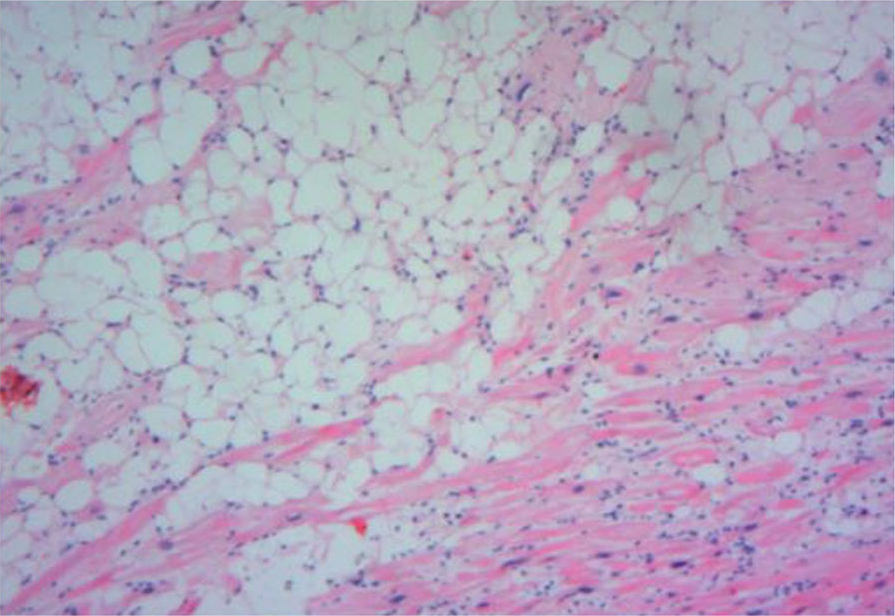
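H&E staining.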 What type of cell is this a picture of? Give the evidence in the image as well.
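Many large, clear, empty-looking rounded to polygonal spaces fill the upper left of the field. The clear spaces are separated by thin pink membranes with small dark nuclei at their edges. The clear cells lie packed together in a continuous sheet.
Adipocyte.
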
